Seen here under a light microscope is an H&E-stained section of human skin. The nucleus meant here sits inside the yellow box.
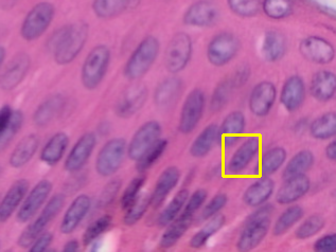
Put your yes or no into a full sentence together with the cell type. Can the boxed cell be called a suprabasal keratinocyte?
Yes, the identification of the boxed cell as a suprabasal keratinocyte stands.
